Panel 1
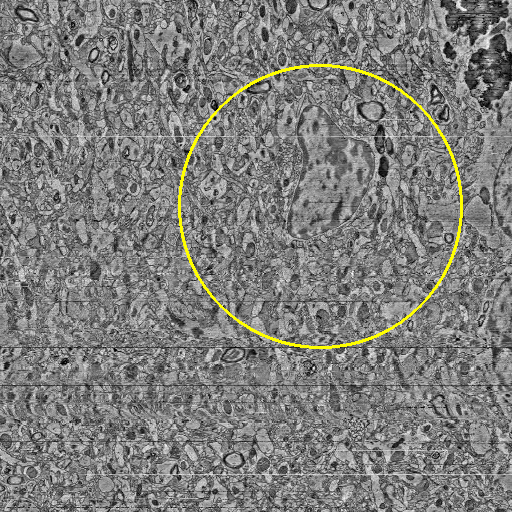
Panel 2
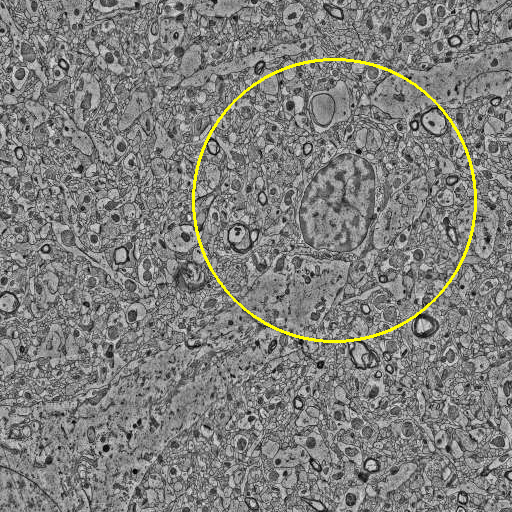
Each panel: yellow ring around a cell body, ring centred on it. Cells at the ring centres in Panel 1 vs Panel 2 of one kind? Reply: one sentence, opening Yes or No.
Yes, Panel 1 and Panel 2 have cells of one kind at the ring centres.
